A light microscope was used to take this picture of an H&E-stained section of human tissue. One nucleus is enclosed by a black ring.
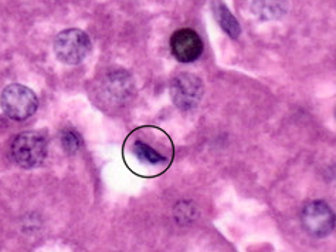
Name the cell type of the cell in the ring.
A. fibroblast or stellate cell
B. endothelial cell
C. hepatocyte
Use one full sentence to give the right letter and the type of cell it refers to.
Option B matches the cell in the ring, which is an endothelial cell.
